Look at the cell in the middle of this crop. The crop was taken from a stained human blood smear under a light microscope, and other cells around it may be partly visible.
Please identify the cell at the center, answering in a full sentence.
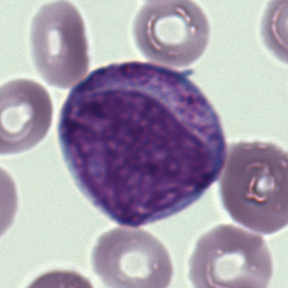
The cell nearest the centre of this crop is an atypical promyelocyte.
